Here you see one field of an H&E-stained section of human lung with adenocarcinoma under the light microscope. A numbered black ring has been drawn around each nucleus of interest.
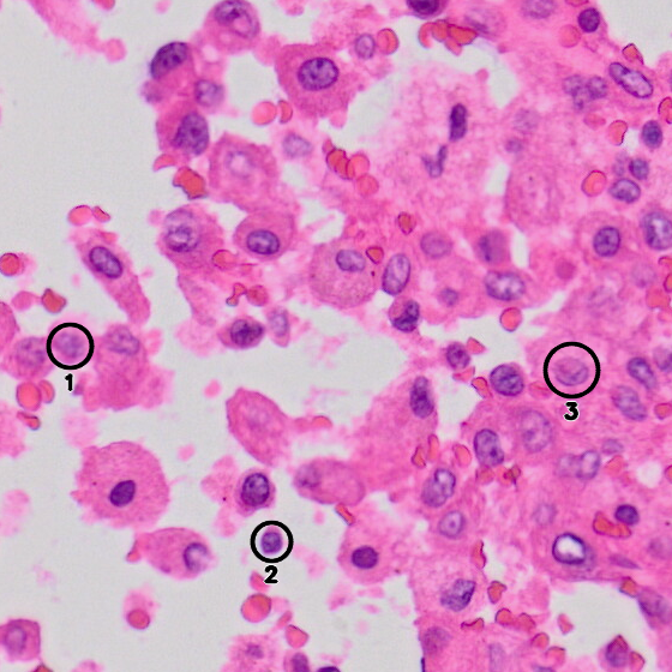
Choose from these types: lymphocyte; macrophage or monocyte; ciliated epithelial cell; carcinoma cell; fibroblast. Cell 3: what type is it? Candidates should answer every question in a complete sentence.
In the marked set, the cell given number 3 is a macrophage or monocyte.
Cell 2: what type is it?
The cell that bears the number 2 is a lymphocyte.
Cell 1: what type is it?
Cell number 1 in this section is a macrophage or monocyte.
